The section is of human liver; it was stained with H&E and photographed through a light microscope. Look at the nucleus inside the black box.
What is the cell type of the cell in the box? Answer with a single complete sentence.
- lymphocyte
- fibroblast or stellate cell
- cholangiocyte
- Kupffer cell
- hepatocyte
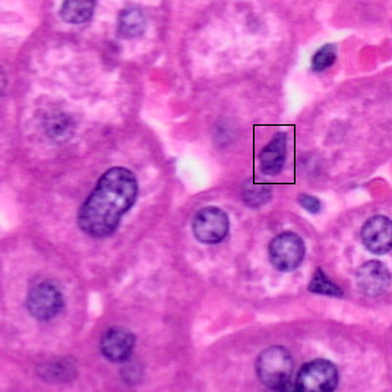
Labelled by cell type, the cell in the box is a fibroblast or stellate cell.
